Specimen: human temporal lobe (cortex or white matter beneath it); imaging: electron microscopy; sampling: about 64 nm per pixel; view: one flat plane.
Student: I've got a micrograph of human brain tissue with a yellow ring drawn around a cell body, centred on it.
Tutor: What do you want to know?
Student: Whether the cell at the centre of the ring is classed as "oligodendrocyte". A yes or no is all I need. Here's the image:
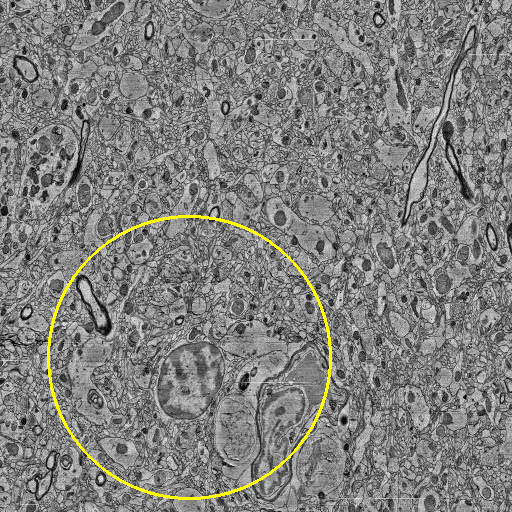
no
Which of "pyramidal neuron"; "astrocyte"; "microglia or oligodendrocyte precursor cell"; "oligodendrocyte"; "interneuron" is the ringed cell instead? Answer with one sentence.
At the centre of the ring sits a microglial cell or oligodendrocyte precursor cell.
